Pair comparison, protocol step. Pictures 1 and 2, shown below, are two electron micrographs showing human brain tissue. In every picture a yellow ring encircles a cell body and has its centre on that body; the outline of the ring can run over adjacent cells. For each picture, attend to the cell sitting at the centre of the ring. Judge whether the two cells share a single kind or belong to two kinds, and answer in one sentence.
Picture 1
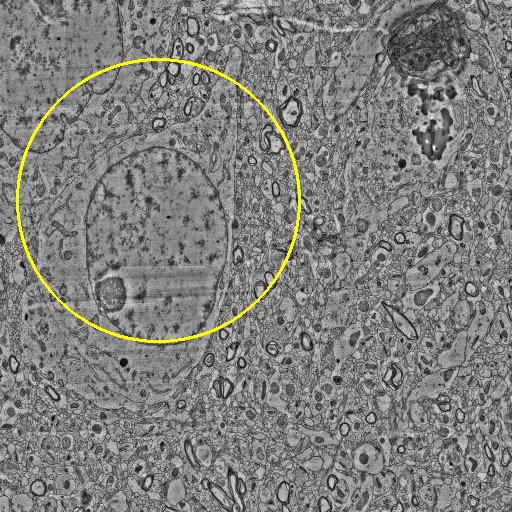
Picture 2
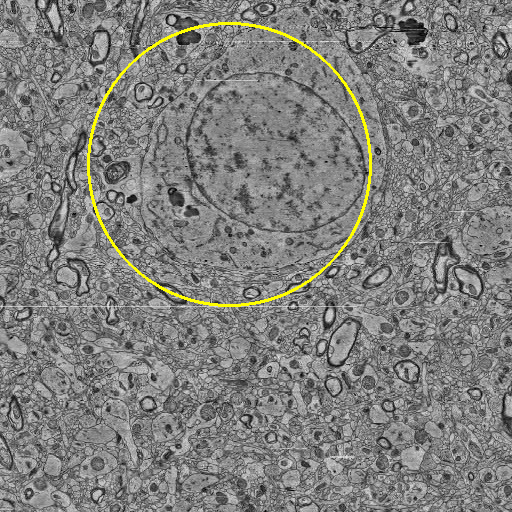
The two cells at the ring centres in Picture 1 and Picture 2 share a single kind.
